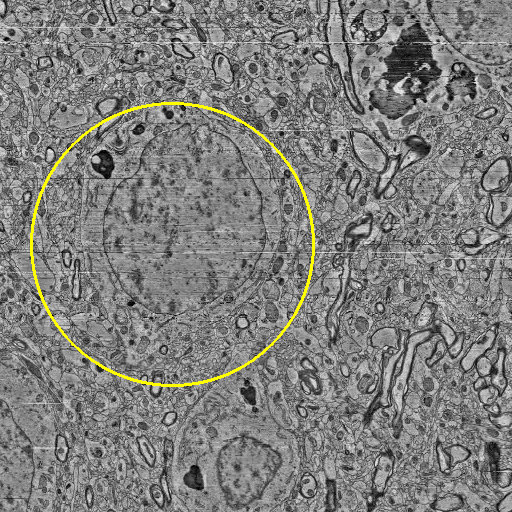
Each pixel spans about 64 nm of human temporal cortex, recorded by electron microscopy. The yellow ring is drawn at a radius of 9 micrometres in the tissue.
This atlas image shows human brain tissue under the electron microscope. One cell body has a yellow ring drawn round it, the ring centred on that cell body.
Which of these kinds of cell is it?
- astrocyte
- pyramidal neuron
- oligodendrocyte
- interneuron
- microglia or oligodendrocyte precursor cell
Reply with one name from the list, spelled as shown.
pyramidal neuron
